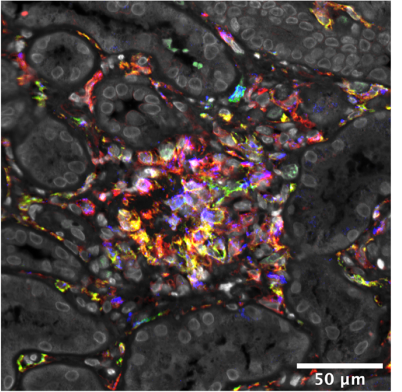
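Here we look at kidney tissue where a cluster of inflammatory cells sits in the interstitium between gray-outlined tubules with pale, evenly spaced epithelial nuclei. The cells crowd together in the centre and spread out in strands along the spaces between neighbouring tubules. Some cells are elongated and follow the tubule borders, while the tubules themselves remain recognisable rings of epithelium around the infiltrate.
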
